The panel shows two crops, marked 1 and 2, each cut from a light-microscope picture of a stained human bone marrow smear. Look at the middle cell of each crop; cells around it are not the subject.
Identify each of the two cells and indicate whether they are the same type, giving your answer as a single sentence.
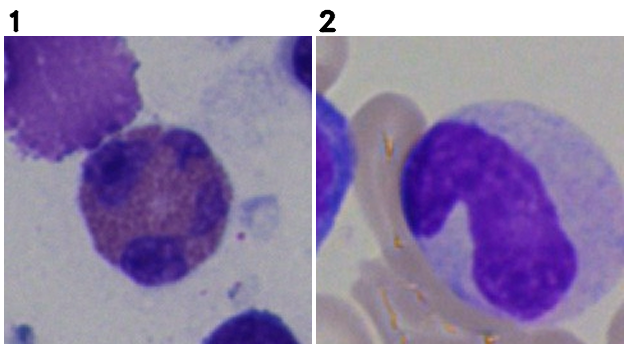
No, crop 1 is where an eosinophil is, and crop 2 is where a band neutrophil is.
